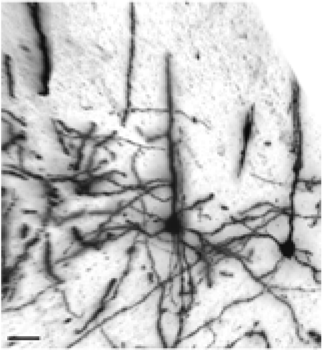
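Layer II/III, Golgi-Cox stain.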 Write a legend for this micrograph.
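Cortical pyramidal neuron impregnated black against a pale background crowded with other stained processes. The dark, triangular cell body lies near the centre of the field. A long, straight dendrite ascends from its apex toward the top of the field. Branched basal dendrites spread out sideways and downward from the base of the cell body. A second small impregnated cell body with its processes is visible at the right margin, and dark process fragments lie at the upper left.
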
